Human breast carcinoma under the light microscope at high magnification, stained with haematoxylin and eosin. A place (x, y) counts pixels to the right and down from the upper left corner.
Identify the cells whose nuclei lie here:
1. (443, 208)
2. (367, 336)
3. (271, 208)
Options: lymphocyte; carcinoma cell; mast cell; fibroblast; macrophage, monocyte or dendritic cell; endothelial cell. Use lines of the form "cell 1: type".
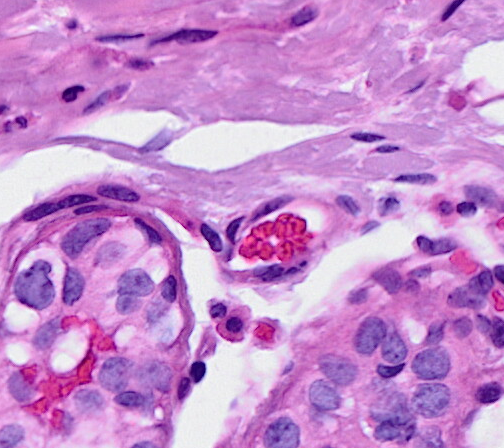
cell 1: mast cell
cell 2: carcinoma cell
cell 3: endothelial cell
